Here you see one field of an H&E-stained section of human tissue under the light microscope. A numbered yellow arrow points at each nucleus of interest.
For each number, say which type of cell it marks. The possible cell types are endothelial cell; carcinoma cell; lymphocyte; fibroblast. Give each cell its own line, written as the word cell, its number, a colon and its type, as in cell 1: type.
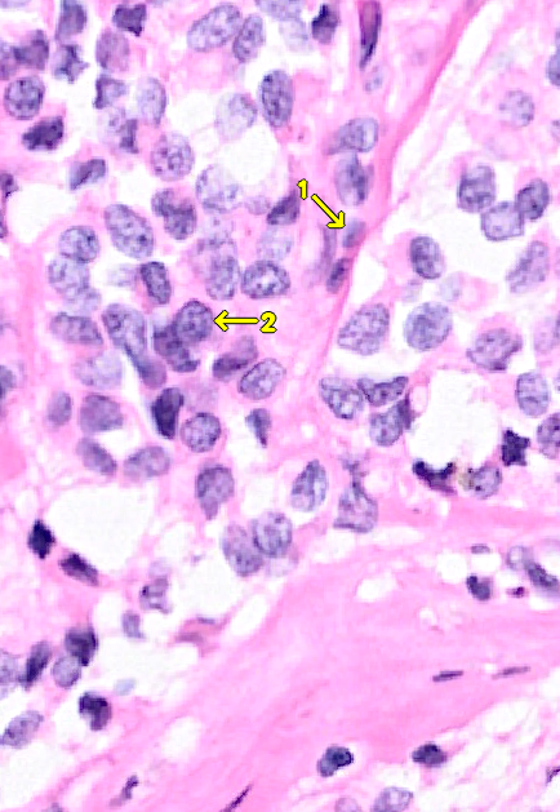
cell 1: endothelial cell
cell 2: carcinoma cell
